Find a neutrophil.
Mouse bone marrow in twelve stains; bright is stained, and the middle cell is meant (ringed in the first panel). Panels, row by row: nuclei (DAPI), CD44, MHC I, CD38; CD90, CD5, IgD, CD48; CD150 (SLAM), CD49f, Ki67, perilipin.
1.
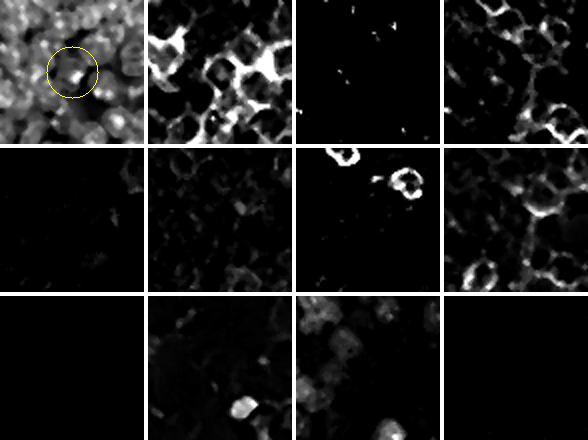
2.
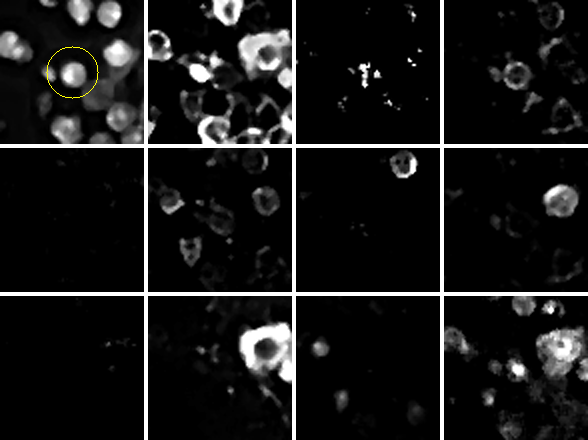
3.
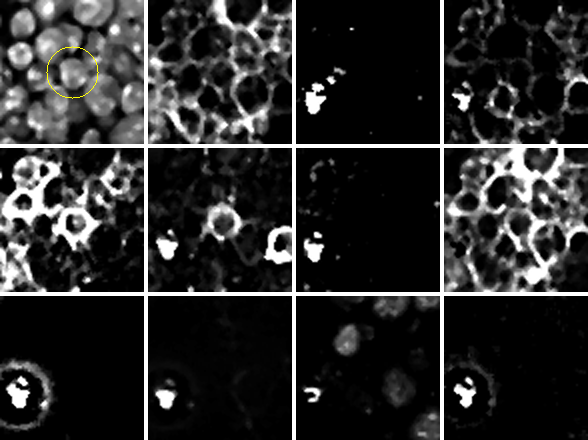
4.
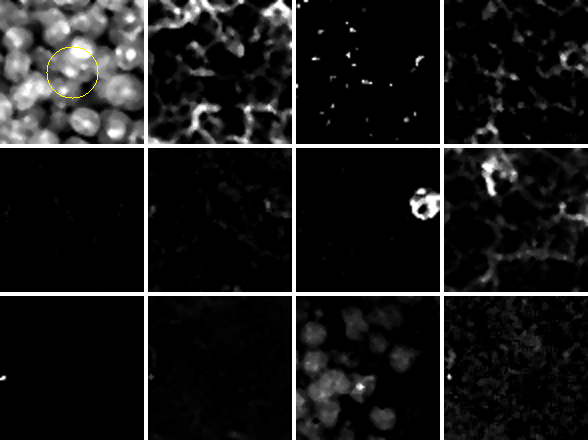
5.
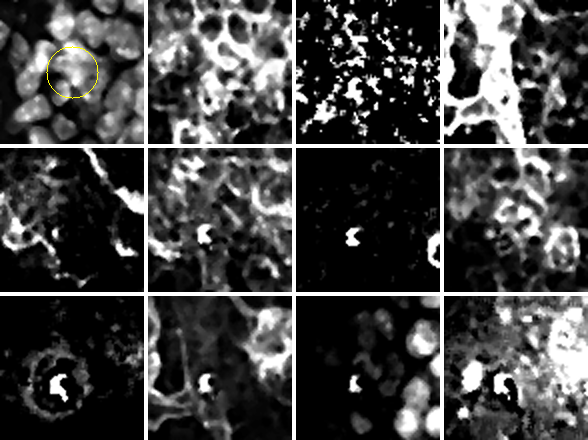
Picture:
1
